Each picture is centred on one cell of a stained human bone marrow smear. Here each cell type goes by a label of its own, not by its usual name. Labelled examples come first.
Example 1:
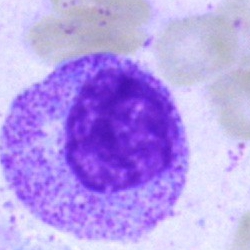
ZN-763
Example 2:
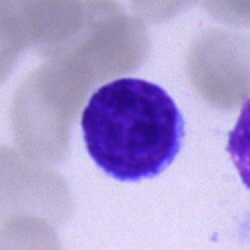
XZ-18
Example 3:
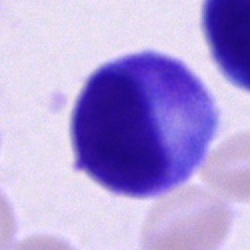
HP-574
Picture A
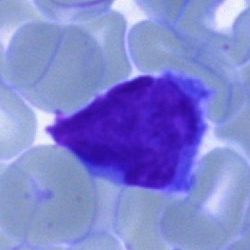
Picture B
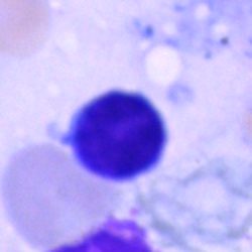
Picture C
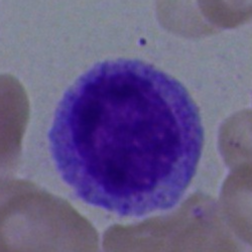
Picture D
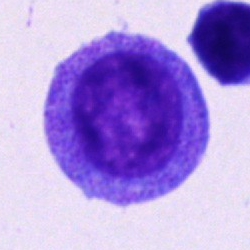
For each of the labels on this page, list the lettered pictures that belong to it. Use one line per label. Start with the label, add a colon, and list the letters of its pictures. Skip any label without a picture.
ZN-763: C
XZ-18: A, B
HP-574: D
